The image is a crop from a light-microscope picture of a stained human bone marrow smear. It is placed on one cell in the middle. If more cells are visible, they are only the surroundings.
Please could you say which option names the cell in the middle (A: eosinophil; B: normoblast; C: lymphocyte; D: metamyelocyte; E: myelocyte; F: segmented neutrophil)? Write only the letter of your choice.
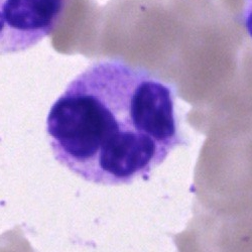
F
